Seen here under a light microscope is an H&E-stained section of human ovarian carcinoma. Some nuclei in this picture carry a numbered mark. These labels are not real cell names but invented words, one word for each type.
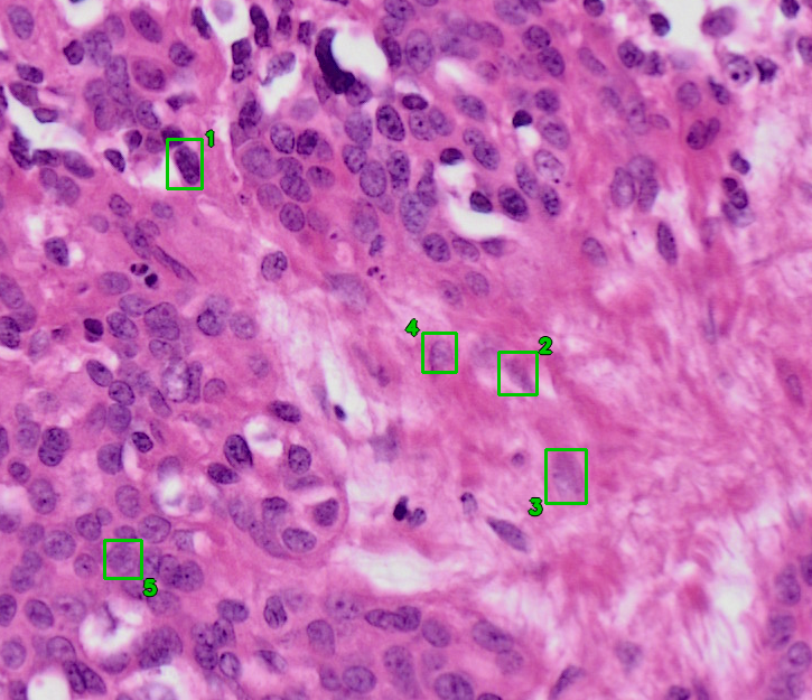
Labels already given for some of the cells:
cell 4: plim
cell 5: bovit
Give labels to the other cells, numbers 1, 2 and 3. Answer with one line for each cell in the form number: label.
1: bovit
2: plim
3: plim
